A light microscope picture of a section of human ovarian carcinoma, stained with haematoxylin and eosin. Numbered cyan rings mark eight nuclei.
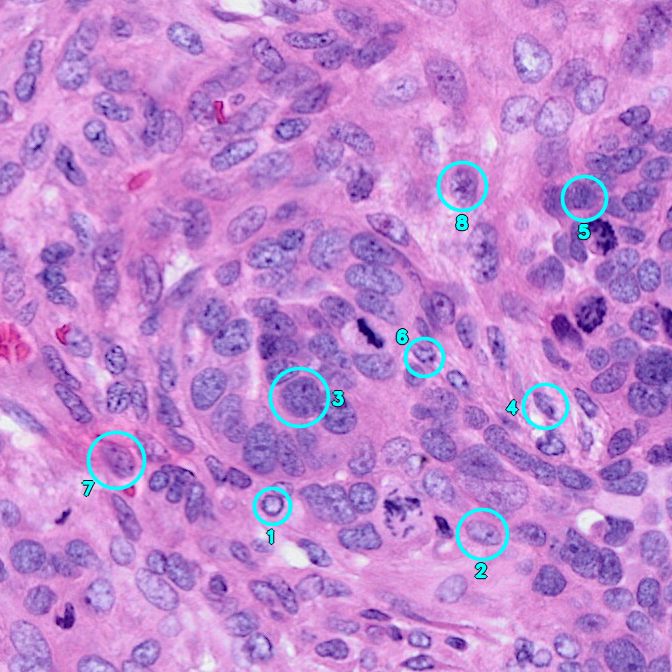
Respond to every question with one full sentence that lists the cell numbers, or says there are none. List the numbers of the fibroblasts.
When it comes to cells 1, 2, 4, 6 and 8, they are fibroblasts.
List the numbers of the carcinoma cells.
The cells numbered 3 and 5 are identified as carcinoma cells.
